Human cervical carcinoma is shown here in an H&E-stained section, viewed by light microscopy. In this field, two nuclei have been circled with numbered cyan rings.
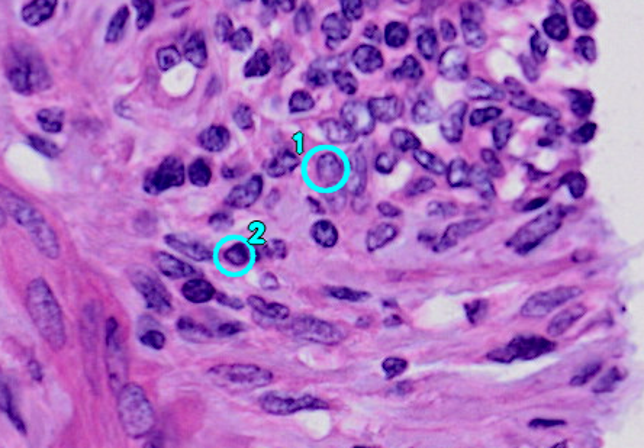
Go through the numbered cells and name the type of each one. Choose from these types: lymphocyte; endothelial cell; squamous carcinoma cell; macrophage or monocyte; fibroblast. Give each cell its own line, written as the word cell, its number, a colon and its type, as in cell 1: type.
cell 1: endothelial cell
cell 2: lymphocyte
